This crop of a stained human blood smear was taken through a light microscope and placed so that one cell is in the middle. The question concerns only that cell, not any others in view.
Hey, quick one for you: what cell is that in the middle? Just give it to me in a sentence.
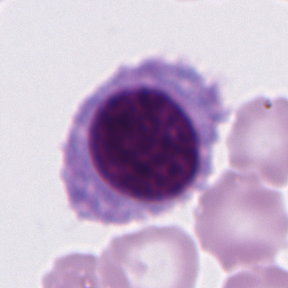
Framed in the middle of the crop is a hairy cell.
